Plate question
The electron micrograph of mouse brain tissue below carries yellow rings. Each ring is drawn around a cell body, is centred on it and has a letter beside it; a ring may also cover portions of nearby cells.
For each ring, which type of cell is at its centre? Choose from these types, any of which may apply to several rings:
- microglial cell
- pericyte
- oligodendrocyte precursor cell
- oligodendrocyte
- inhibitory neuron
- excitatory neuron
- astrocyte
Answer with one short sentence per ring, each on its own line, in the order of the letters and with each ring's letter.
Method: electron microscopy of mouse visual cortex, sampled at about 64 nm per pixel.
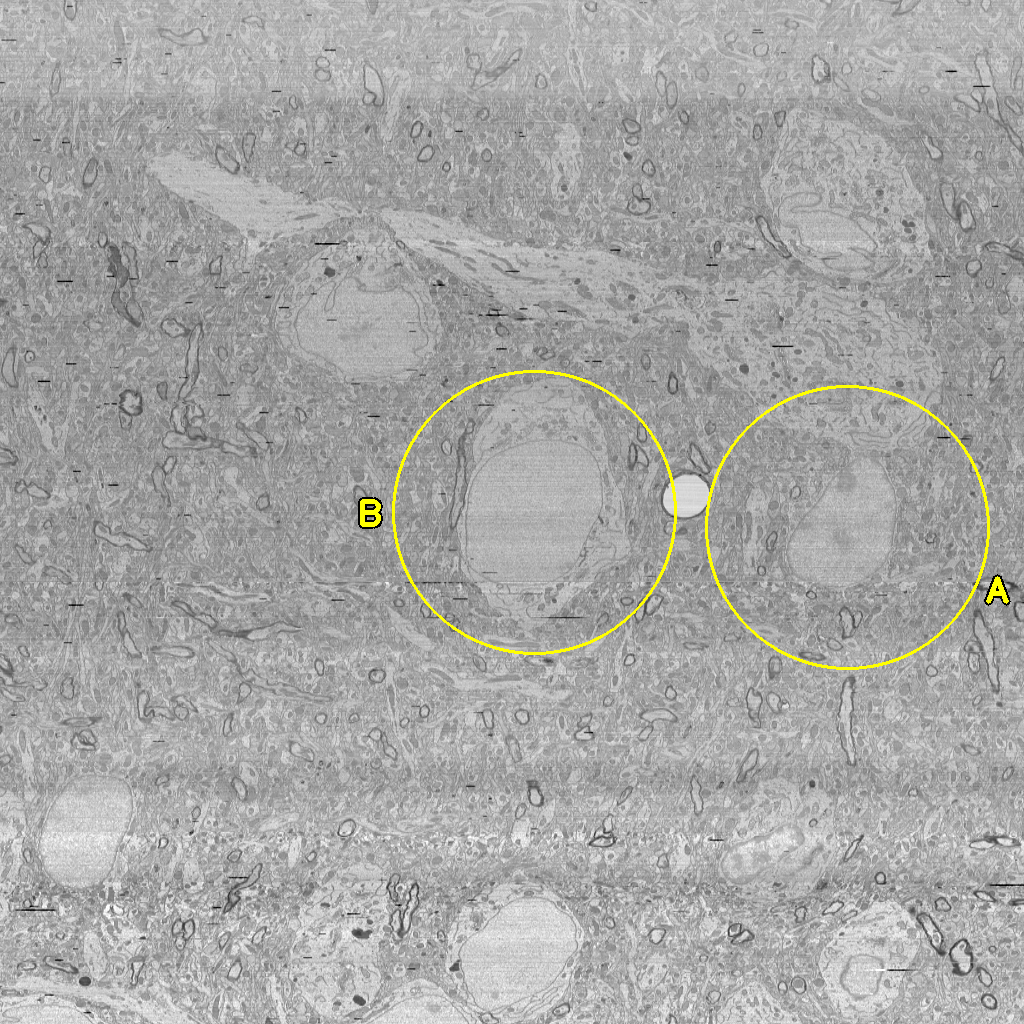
The cell ringed as A is an astrocyte.
The cell ringed as B is an excitatory neuron.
